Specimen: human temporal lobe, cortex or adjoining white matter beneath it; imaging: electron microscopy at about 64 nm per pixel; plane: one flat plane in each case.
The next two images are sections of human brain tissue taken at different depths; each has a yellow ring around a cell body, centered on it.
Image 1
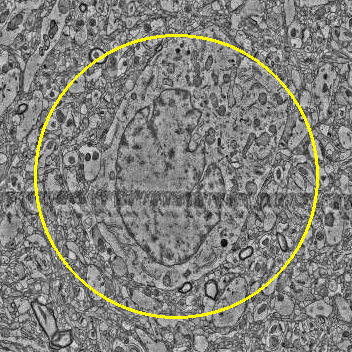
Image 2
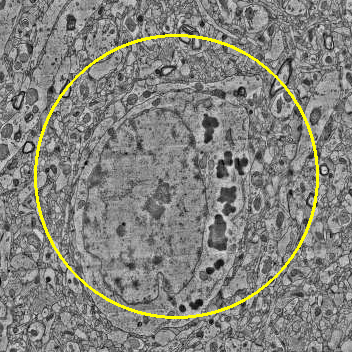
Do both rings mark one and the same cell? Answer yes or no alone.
no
